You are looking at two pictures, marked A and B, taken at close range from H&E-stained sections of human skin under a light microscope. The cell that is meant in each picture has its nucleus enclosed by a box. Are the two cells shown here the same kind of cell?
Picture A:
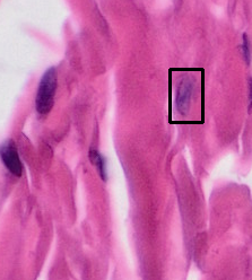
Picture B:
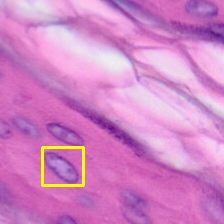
no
